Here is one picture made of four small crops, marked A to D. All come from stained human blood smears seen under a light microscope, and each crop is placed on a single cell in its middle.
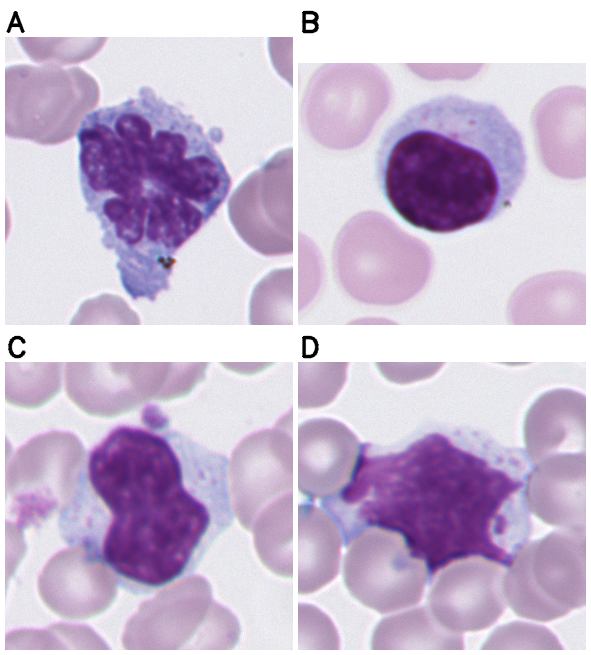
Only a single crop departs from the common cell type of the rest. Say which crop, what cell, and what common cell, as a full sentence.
Here the outlier is crop A, which is a monocyte, and the rest are large granular lymphocytes.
